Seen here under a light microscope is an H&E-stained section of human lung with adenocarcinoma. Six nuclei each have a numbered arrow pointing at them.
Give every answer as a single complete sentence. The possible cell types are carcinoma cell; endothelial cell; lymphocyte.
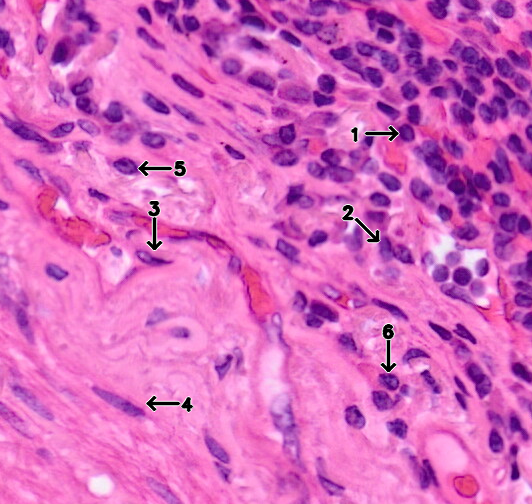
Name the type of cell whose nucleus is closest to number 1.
The cell nearest to number 1 is a lymphocyte.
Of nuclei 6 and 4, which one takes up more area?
Nucleus 4 is larger, with an area about 2 times that of nucleus 6.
